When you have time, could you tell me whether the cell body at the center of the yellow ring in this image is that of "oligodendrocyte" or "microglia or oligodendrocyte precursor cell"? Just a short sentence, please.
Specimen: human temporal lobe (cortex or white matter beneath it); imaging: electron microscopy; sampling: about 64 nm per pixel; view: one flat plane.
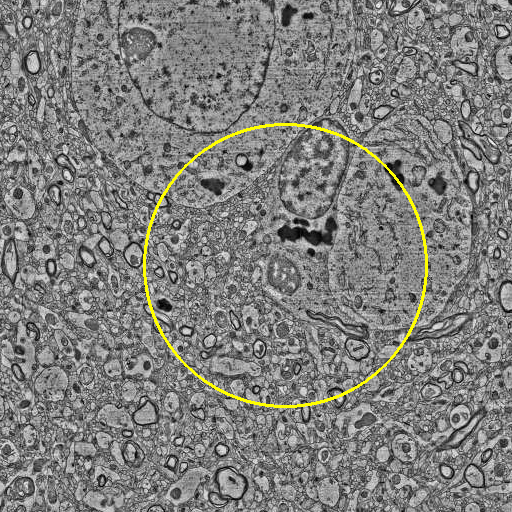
The cell body at the center of the ring is that of an oligodendrocyte.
